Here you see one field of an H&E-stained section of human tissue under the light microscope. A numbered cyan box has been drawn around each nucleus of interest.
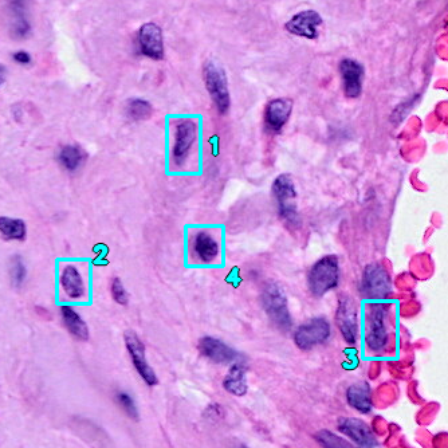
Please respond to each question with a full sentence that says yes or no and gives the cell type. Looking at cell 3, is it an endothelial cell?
Yes, the cell marked by the number 3 is an endothelial cell.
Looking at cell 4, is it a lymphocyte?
Yes, the cell whose number is 4 is a lymphocyte.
